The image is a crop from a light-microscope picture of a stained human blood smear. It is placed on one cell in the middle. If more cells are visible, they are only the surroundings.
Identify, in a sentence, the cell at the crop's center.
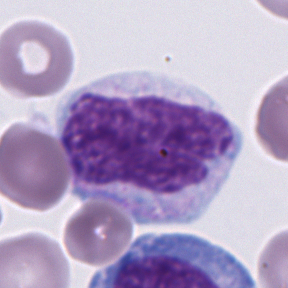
The cell centred in this crop is categorized as a myelocyte.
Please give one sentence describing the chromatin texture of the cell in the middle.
If you check the nucleus, you will find the chromatin coarsely clumped.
